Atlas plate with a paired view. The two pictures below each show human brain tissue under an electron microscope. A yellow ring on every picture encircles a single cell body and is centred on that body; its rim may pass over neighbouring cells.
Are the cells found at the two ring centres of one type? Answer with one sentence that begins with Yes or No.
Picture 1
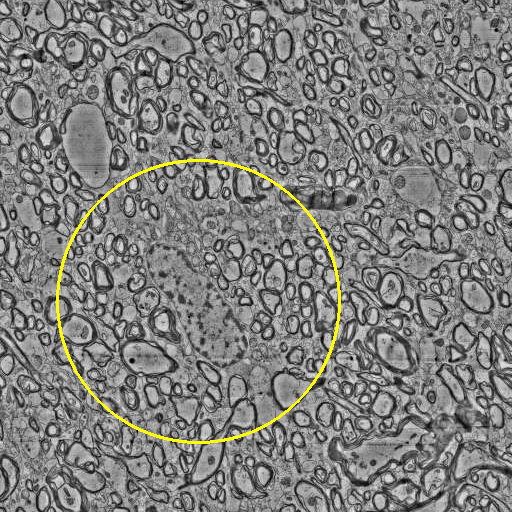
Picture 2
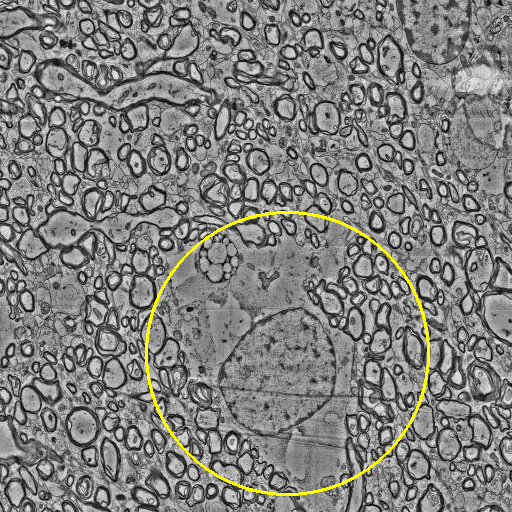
Yes, the two cells lying at the centres of the rings share a single type.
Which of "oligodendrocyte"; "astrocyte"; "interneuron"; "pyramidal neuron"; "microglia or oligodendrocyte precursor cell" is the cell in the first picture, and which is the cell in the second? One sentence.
Each cell at the centre of a ring is an astrocyte.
